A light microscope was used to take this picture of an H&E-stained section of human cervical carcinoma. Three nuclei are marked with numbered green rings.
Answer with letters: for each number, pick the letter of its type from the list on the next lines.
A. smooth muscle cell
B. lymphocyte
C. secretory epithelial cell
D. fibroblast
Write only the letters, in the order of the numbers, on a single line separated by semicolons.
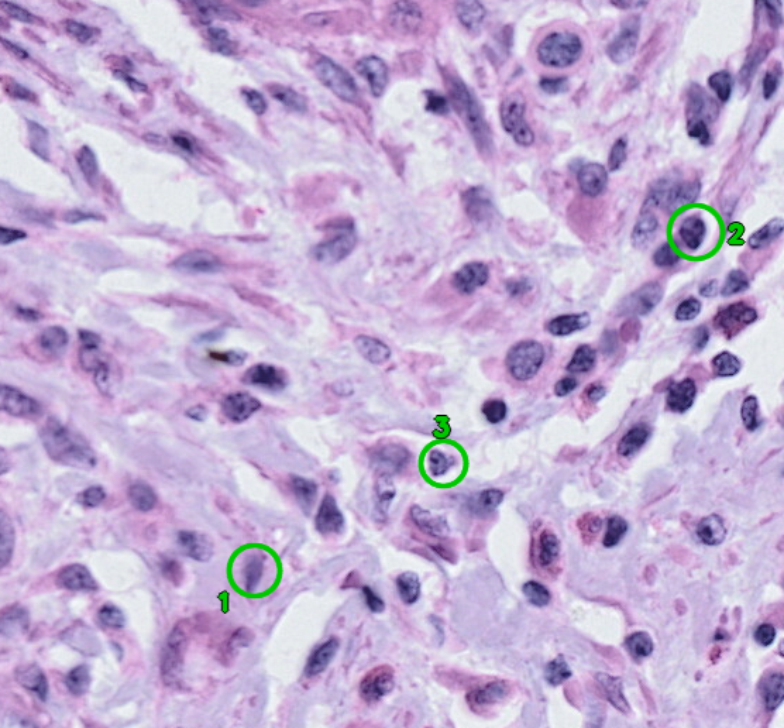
D; B; B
